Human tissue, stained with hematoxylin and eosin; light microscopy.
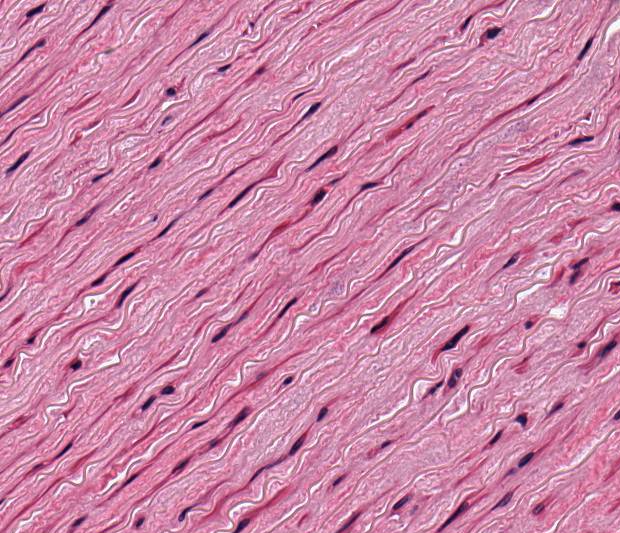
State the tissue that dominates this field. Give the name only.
tunica media of an artery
